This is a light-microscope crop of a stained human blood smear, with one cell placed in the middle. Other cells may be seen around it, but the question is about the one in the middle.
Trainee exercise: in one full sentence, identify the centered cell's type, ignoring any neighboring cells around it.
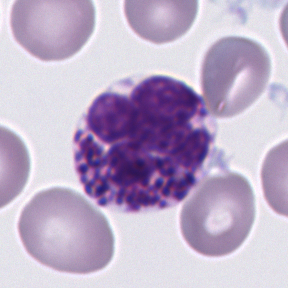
In this crop, the cell at the very middle is a basophil.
